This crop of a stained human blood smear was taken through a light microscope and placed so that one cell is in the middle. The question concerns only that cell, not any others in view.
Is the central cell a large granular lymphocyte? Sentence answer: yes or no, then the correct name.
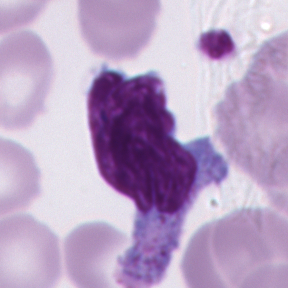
No, what occupies the middle of the crop is a typical lymphocyte and not a large granular lymphocyte.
